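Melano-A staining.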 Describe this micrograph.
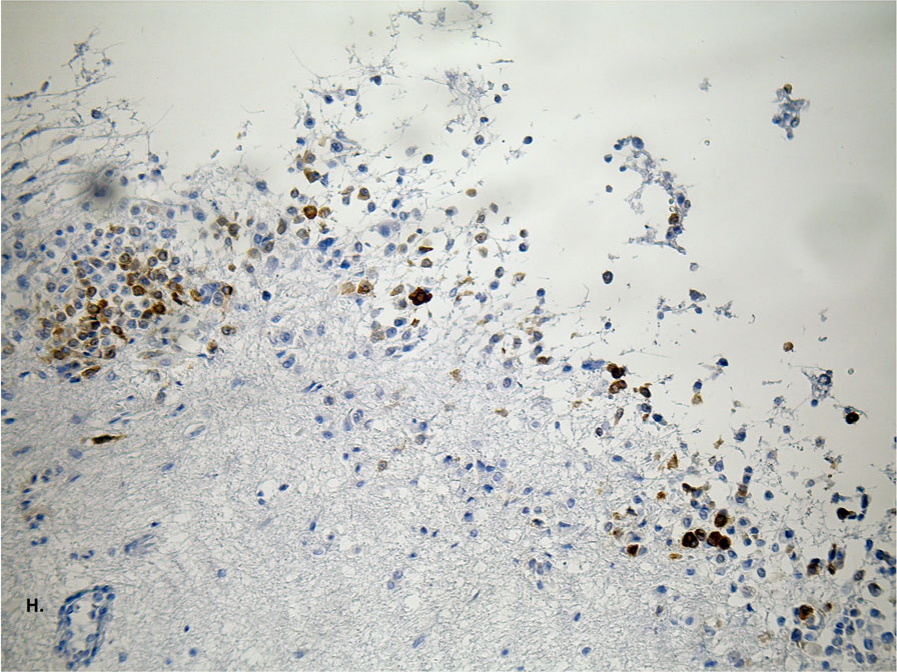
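This is a section in which rounded neoplastic cells infiltrate a loose, pale fibrillary tissue, many of them with brown-stained cytoplasm. The brown cells crowd in dense clusters along the upper, frayed edge of the tissue, notably at the left and lower right, while the deeper tissue below holds mostly scattered small blue nuclei without brown colour. The stained cells are round to polygonal, with round nuclei and a rim of cytoplasm, and they lie loosely, with little cohesion between them. Some of them have come away from the edge and lie singly or in small groups in the empty space above. A small vessel with a ring of blue nuclei is cut across at the lower left.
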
